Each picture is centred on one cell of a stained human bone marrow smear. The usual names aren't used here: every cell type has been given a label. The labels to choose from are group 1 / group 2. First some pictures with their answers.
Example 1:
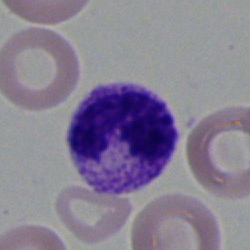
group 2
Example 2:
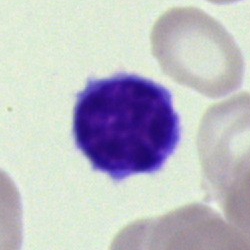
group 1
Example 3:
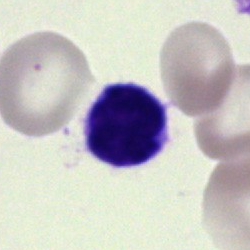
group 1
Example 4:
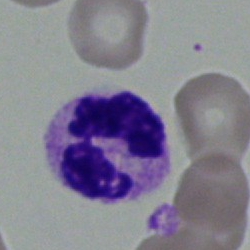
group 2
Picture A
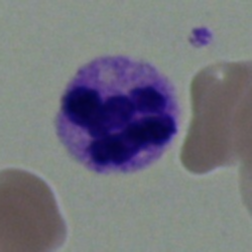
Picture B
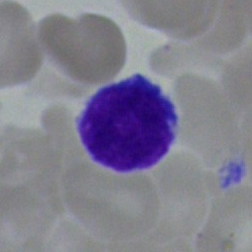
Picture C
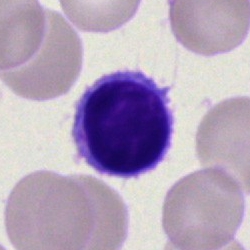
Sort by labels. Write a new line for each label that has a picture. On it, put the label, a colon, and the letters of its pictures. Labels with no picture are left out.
group 1: B, C
group 2: A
